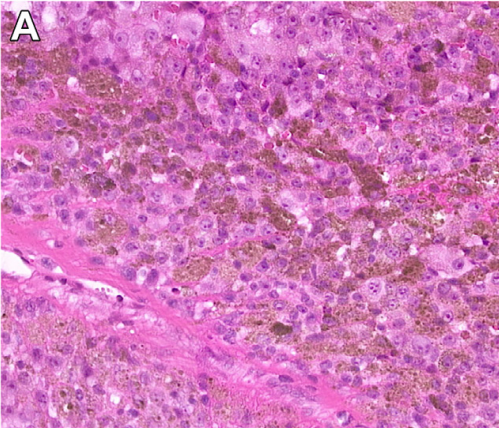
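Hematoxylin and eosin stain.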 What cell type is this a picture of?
Epithelioid cell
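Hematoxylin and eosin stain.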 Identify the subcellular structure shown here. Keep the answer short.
prominent nucleoli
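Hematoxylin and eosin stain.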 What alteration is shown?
Pigmented cytoplasm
